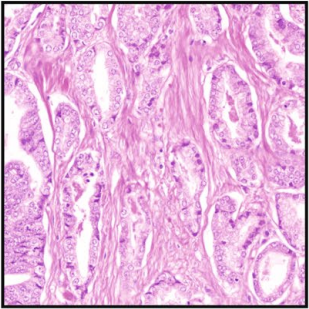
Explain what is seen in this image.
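This is prostate tissue with well-formed malignant glands set in fibrous stroma. The glands are separate and fairly small, each with a clear central lumen, some elongated or branching. They are lined by a single layer of epithelial cells with pale pink to clear cytoplasm and round nuclei, some with visible nucleoli. Between the glands lie bands of pink, wavy fibromuscular stroma with scattered spindle-shaped nuclei. The glands are crowded but each still keeps its own outline and lumen, rather than fusing into solid sheets.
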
